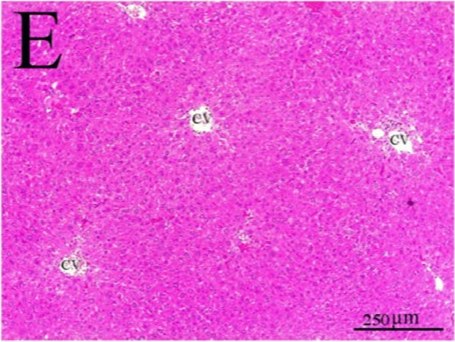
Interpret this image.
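Liver tissue made up of closely packed hepatocytes with evenly pink cytoplasm and dark nuclei. Several small central veins appear as clear spaces scattered across the field. Few clear vacuoles are seen among the cells, and the tissue looks compact and uniformly stained.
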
